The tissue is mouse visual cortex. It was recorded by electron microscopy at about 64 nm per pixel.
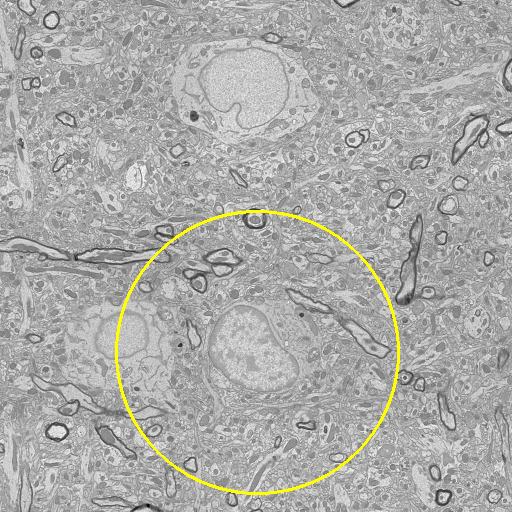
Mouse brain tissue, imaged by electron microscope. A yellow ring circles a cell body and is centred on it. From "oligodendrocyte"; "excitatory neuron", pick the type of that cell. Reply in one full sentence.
The cell body at the centre of the yellow ring belongs to an oligodendrocyte.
